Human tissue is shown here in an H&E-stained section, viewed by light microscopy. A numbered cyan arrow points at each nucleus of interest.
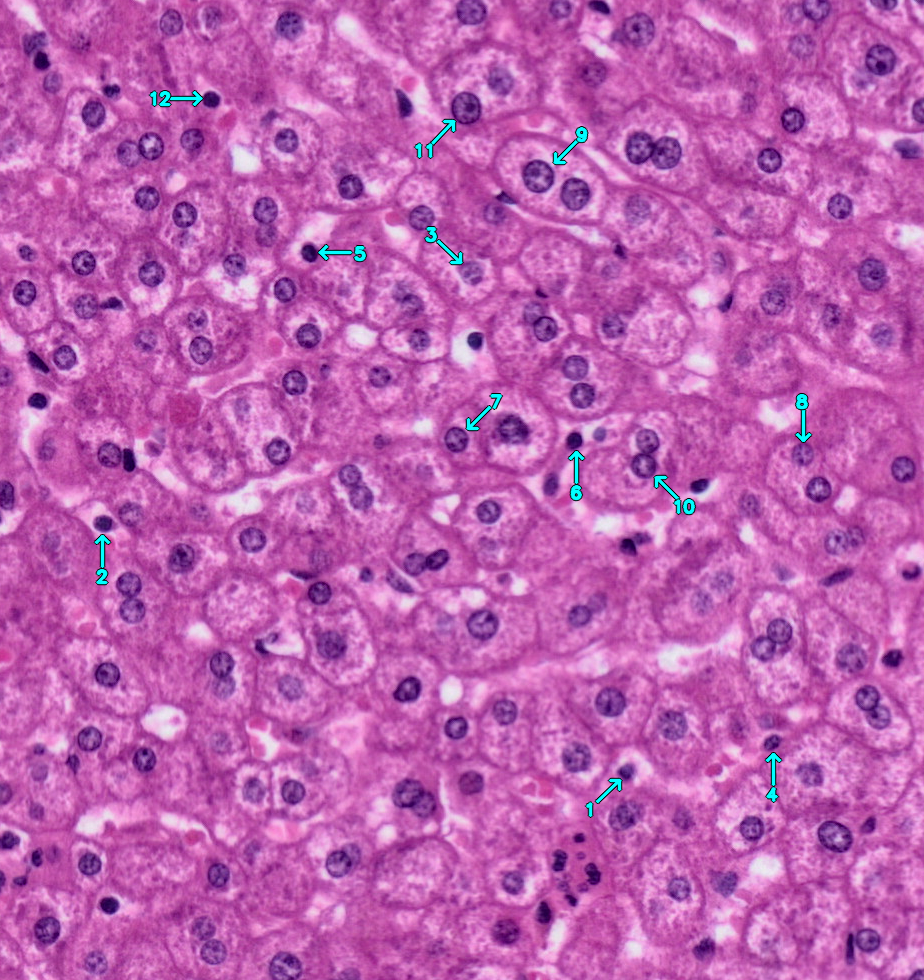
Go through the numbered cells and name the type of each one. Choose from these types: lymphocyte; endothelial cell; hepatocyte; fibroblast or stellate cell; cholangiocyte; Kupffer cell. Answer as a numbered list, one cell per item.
1. lymphocyte
2. lymphocyte
3. hepatocyte
4. lymphocyte
5. lymphocyte
6. lymphocyte
7. hepatocyte
8. hepatocyte
9. hepatocyte
10. hepatocyte
11. hepatocyte
12. lymphocyte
